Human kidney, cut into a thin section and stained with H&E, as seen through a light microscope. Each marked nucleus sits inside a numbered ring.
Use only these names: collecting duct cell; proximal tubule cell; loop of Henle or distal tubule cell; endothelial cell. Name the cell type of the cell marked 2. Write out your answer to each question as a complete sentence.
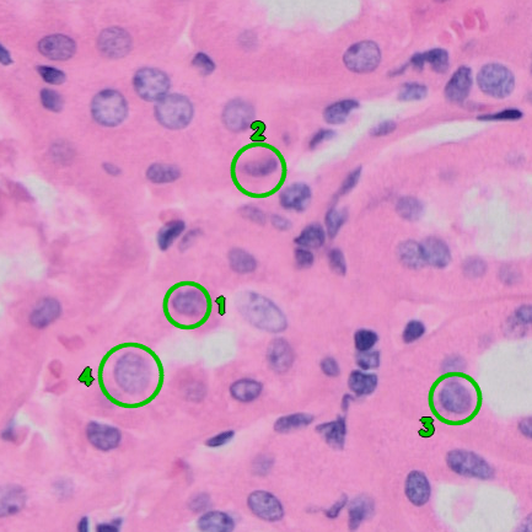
The cell pointed out as number 2 is a collecting duct cell.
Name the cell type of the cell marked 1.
The cell marked with number 1 is a proximal tubule cell.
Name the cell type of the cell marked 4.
The cell that bears the number 4 is a proximal tubule cell.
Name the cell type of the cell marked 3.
The cell given label 3 is a loop of Henle or distal tubule cell.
